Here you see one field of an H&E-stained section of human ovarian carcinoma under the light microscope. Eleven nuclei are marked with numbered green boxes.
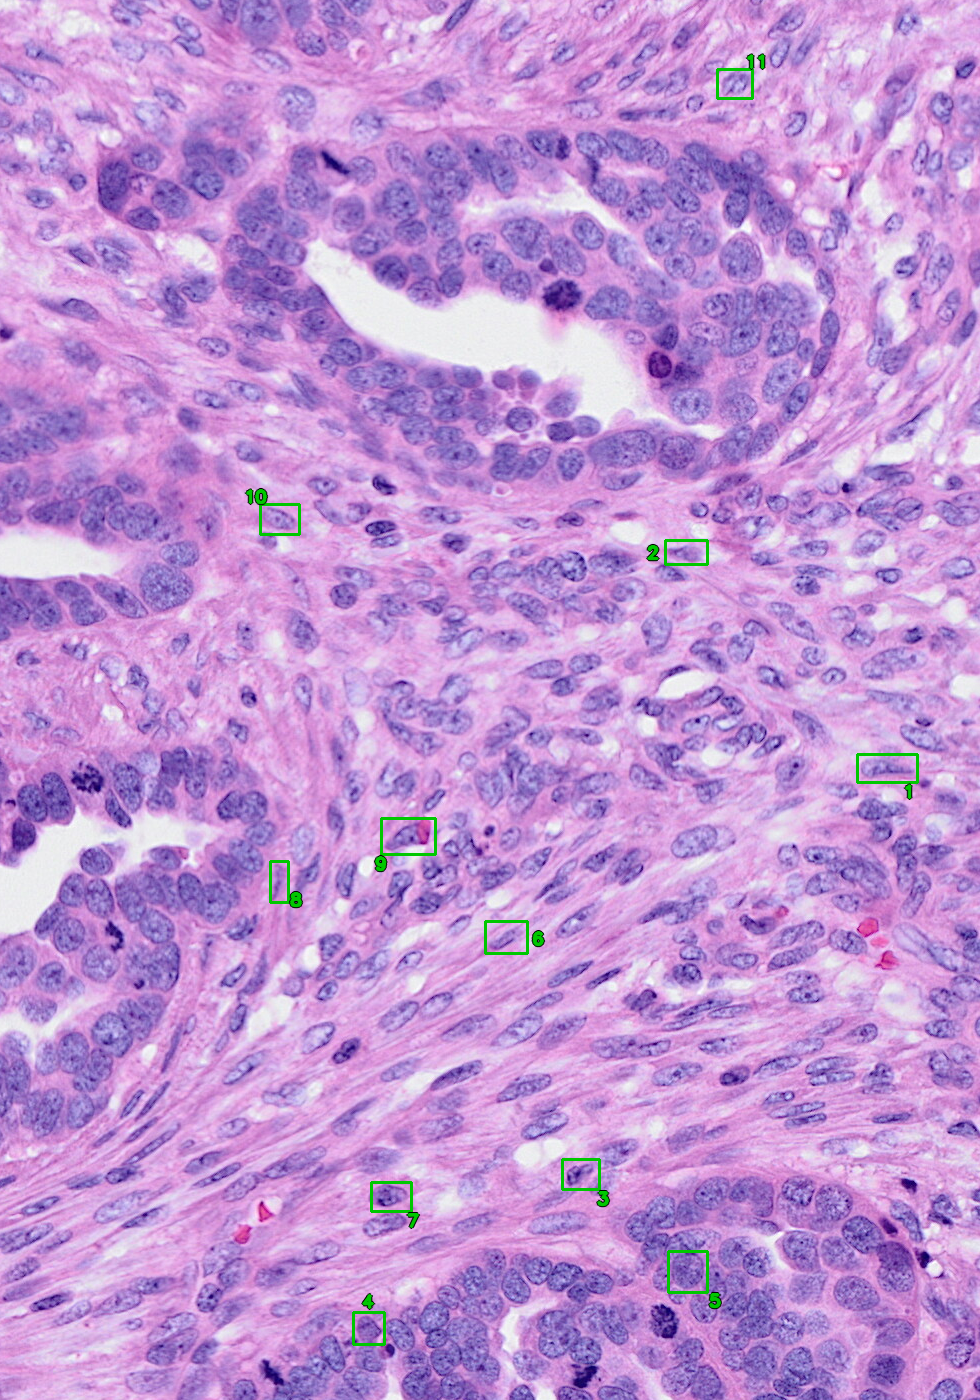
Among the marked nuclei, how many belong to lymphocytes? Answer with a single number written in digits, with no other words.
1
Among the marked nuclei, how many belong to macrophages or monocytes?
1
